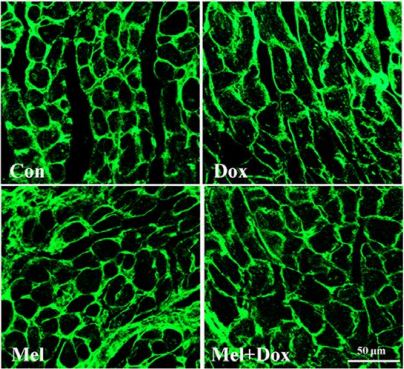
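Four fluorescence fields of heart muscle show bright green lines that outline the borders of closely packed cells. Most profiles are polygonal, as in a cross section, while some are elongated where the fibres run obliquely or lengthwise. The interiors of the outlined cells are dark, with faint green speckling in places.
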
